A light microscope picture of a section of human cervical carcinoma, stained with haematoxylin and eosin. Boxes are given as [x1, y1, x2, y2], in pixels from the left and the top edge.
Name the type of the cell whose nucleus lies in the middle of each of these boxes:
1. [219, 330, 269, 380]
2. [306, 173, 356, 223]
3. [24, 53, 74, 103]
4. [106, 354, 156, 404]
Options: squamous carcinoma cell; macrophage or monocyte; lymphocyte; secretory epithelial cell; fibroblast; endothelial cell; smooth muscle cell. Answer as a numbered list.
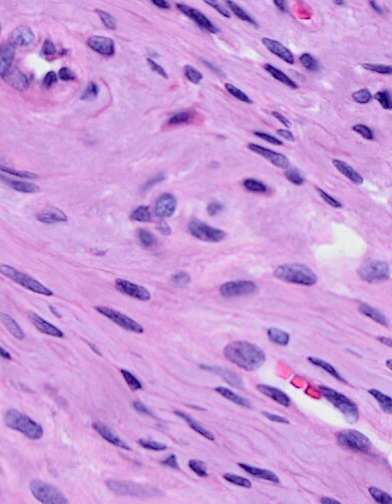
1. endothelial cell
2. fibroblast
3. endothelial cell
4. fibroblast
